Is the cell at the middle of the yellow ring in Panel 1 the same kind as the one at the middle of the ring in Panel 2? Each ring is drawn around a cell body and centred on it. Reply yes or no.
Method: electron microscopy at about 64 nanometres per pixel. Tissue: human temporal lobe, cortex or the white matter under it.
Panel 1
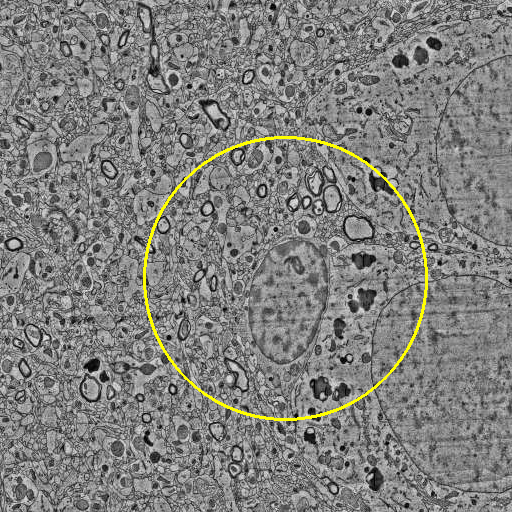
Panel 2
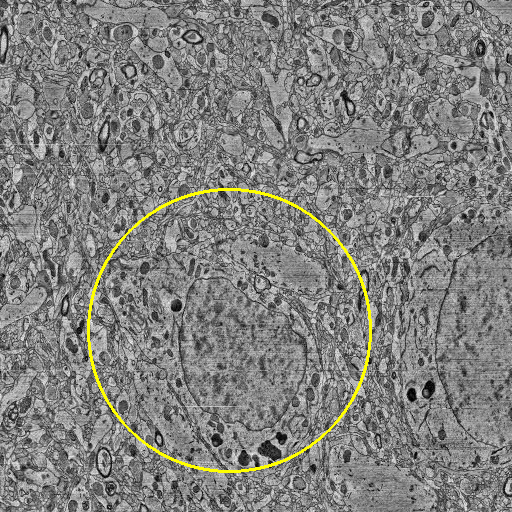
no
